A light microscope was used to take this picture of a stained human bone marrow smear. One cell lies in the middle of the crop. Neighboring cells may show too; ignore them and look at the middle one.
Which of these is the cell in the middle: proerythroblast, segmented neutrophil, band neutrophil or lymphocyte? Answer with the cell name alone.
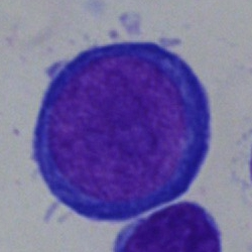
proerythroblast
